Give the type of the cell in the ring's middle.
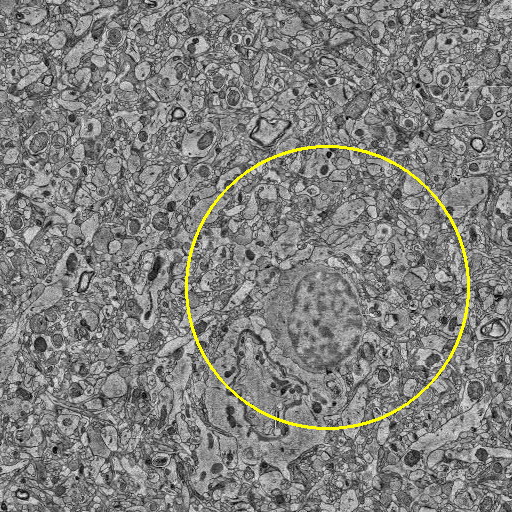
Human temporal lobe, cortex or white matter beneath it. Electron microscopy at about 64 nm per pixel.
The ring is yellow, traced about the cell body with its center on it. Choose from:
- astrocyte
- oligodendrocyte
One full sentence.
Here, an oligodendrocyte is the cell lying at the center of the yellow ring.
